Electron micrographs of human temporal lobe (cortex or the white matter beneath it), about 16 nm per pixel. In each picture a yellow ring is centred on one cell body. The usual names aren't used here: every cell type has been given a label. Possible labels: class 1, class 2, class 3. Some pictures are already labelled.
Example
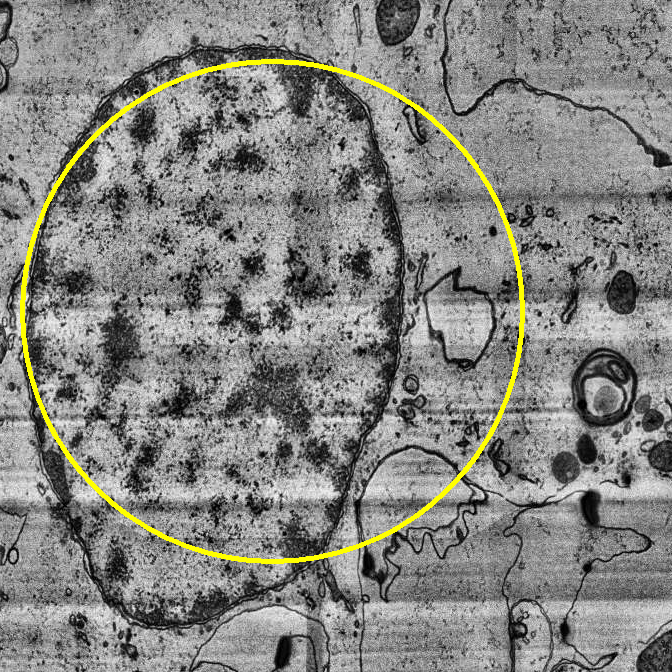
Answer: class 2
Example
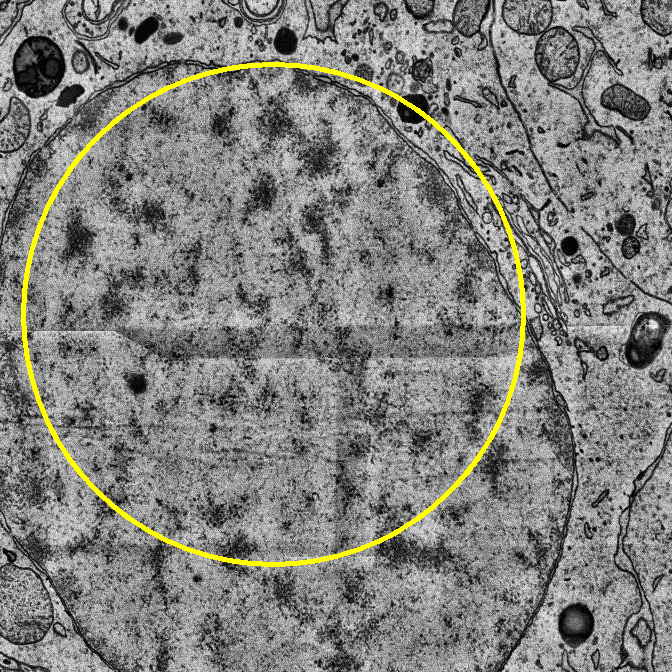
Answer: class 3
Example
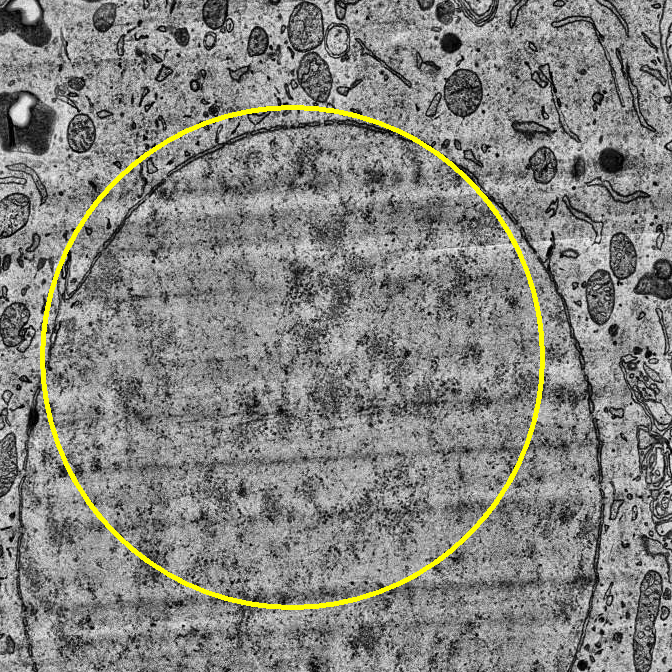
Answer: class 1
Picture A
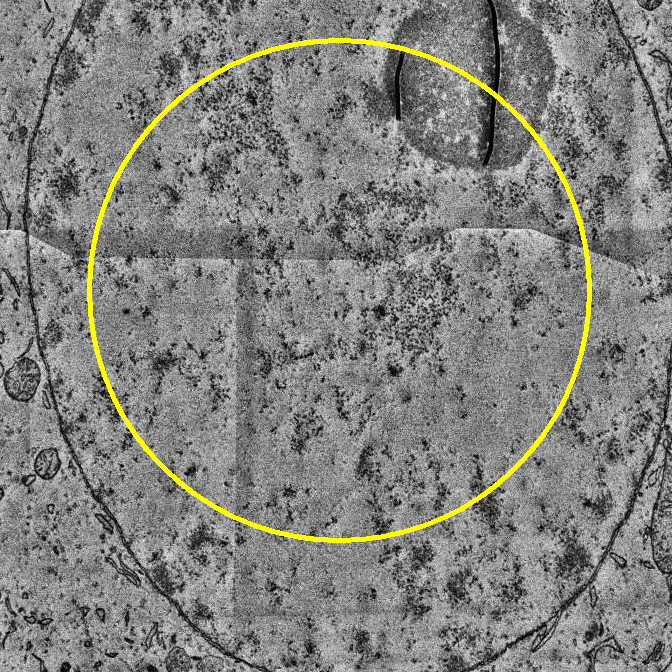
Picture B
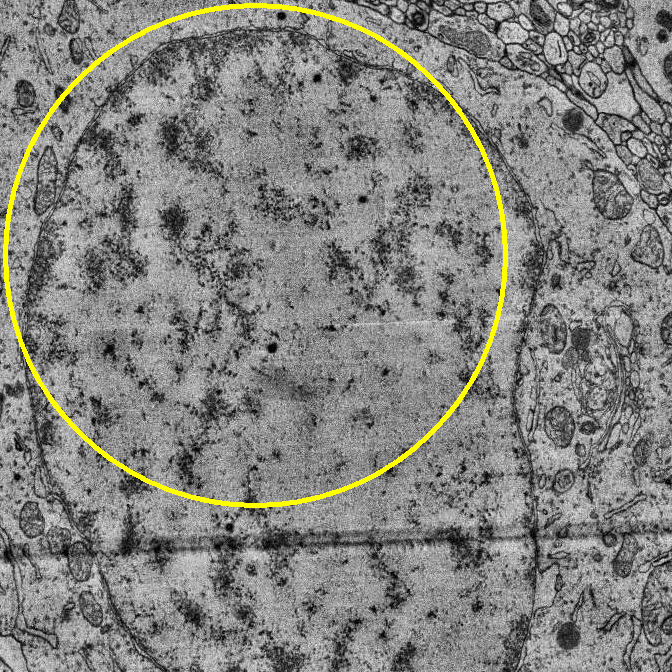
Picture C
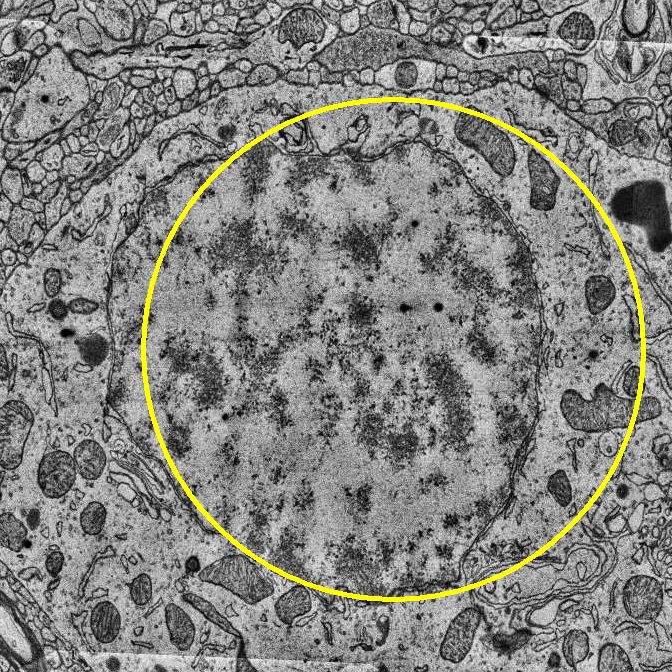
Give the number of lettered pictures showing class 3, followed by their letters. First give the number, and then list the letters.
2: B, C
